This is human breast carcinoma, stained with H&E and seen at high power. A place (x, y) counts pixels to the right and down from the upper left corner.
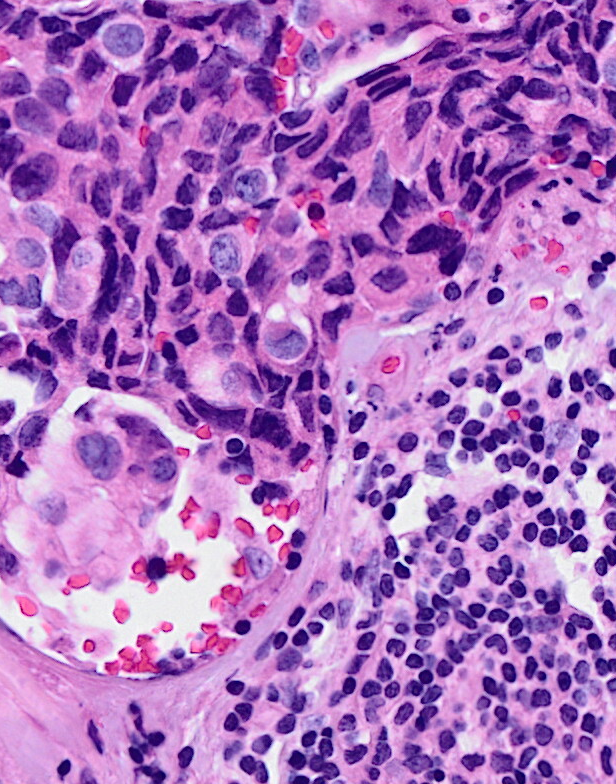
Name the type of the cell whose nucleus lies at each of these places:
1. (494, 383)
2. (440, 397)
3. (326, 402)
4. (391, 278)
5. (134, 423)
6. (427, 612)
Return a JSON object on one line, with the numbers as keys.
{"1": "lymphocyte", "2": "lymphocyte", "3": "lymphocyte", "4": "carcinoma cell", "5": "carcinoma cell", "6": "lymphocyte"}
